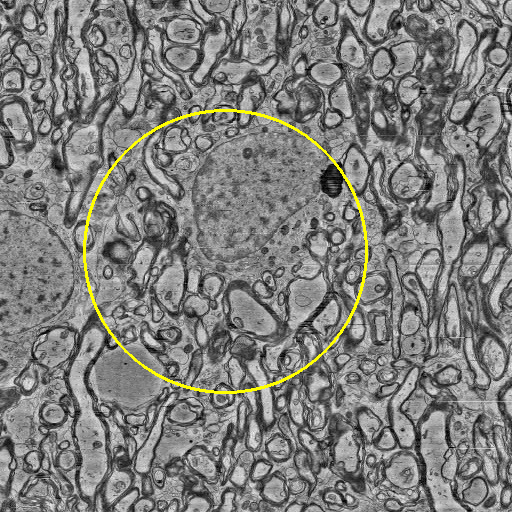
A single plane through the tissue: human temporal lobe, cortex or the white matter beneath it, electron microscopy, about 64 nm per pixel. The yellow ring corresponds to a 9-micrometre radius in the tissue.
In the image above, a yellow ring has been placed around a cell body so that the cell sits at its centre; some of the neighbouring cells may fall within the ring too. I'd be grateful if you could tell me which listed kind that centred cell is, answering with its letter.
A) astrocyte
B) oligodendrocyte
B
